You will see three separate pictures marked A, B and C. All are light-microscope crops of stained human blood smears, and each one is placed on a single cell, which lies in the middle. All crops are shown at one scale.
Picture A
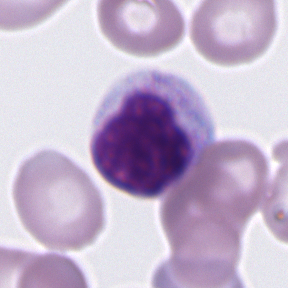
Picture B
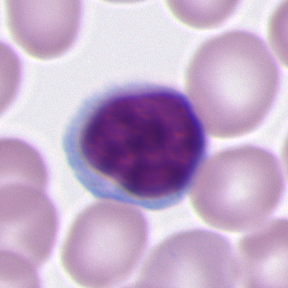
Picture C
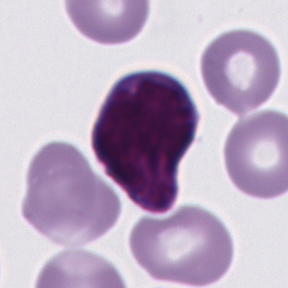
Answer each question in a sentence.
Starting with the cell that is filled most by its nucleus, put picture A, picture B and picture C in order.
They run C, B, A, the most filled first.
